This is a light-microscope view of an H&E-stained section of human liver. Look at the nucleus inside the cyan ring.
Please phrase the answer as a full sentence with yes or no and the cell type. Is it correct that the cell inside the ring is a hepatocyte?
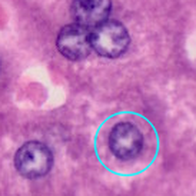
Yes, the cell inside the ring is a hepatocyte by cell type.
